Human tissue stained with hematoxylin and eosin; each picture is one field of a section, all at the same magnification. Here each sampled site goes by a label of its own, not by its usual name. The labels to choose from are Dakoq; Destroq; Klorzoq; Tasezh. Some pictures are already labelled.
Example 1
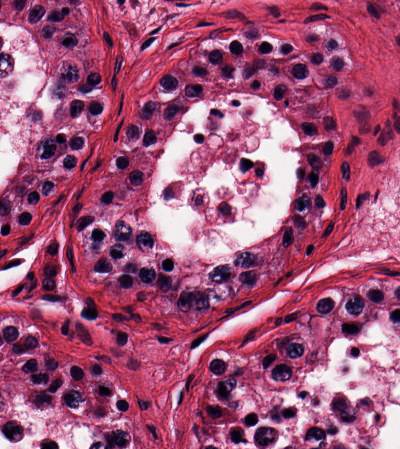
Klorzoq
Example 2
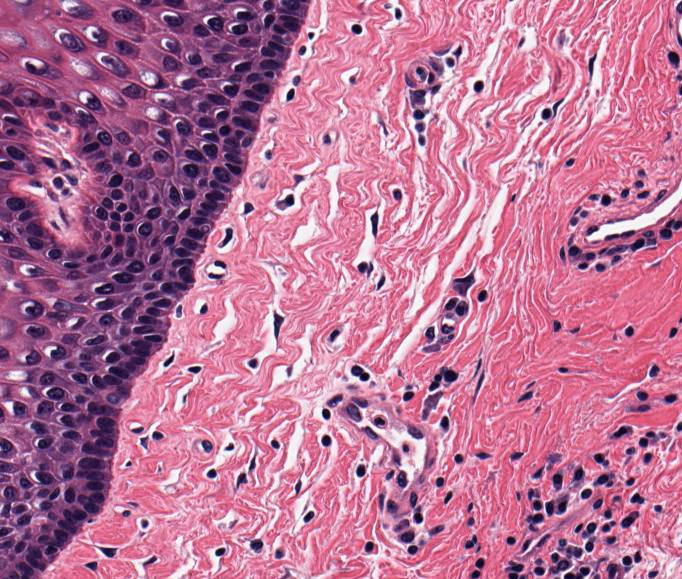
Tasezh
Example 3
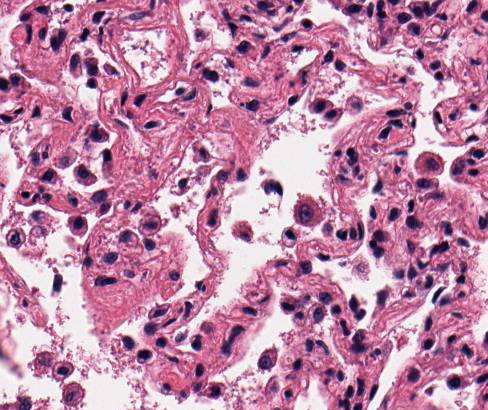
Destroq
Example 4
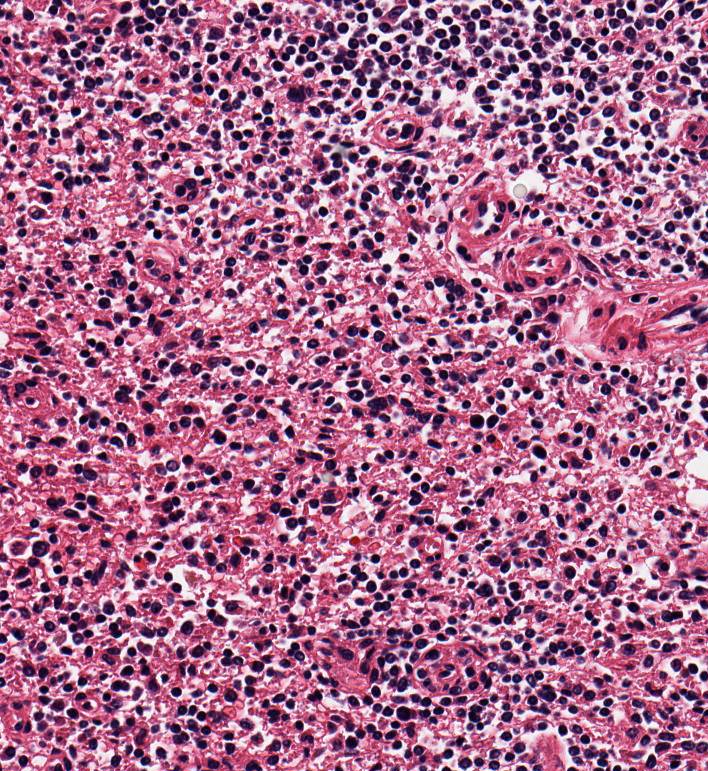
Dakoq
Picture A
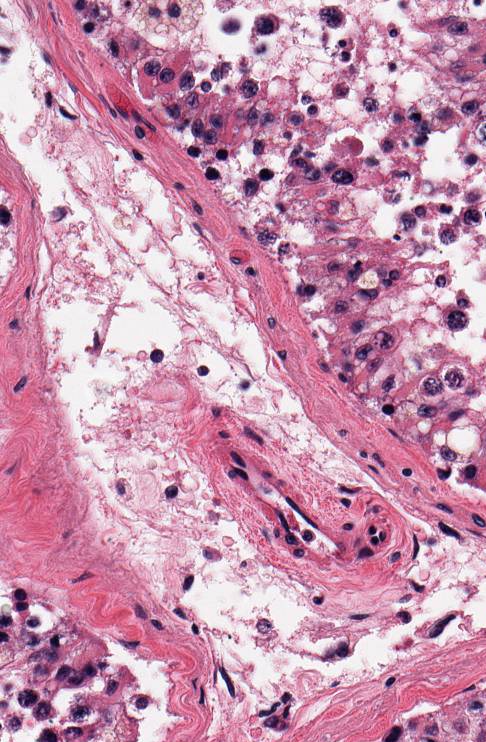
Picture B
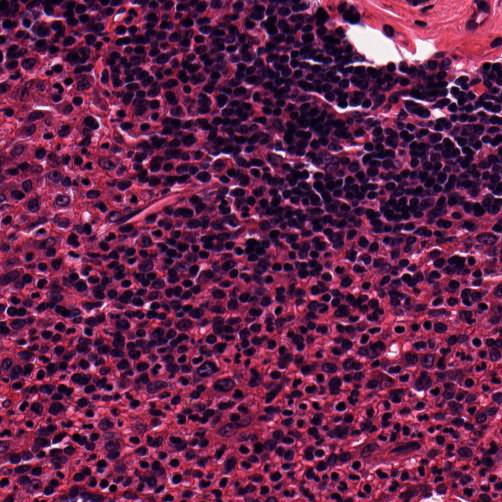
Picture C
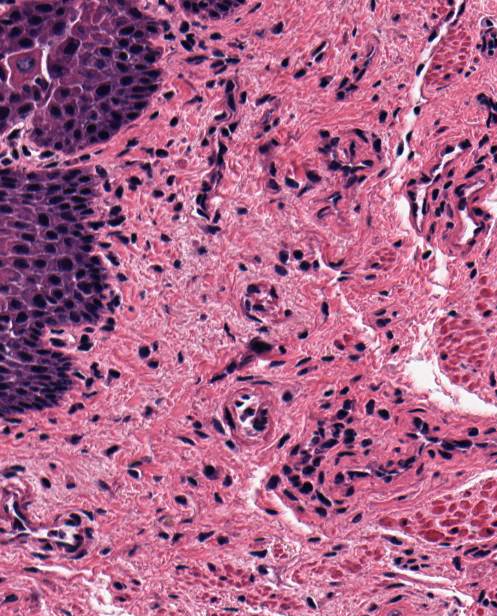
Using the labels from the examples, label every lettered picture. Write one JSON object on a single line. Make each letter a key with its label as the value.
{"A": "Klorzoq", "B": "Dakoq", "C": "Tasezh"}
